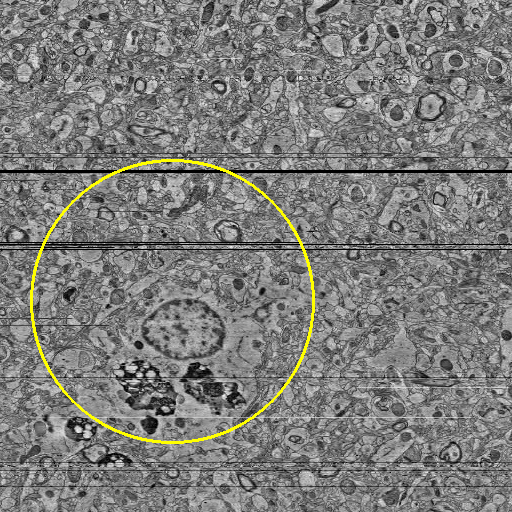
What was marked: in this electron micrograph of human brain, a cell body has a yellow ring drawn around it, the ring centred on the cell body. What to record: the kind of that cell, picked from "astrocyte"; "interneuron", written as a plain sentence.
The centred cell is an astrocyte.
